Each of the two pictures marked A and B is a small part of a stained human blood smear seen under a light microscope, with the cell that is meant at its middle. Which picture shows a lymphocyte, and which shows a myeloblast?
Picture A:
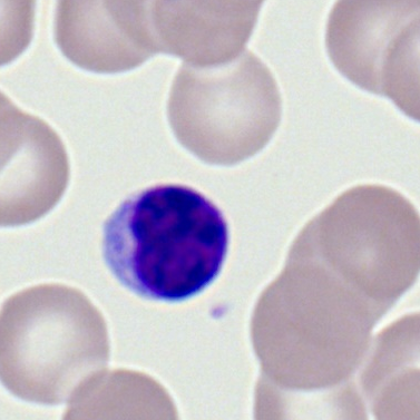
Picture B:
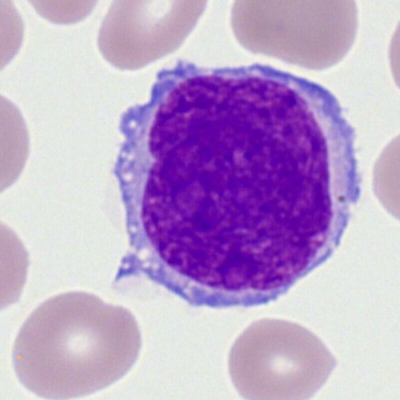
A: lymphocyte
B: myeloblast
